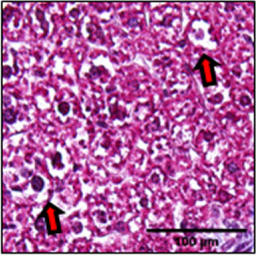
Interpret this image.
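This is liver, and the cells filling the field are hepatocytes, large polygonal cells with a pinkish-red cytoplasm and round purple nuclei. The orderly cords of cells are hard to follow here; the tissue looks loosened, with many pale, cleared spaces between and within the cells. Several cells are swollen and rounded, their cytoplasm pale and washed out rather than evenly pink, which is the look of ballooning. The arrows point at such swollen, pale cells with a nucleus sitting in the cleared cytoplasm. Compare them with the neighbouring cells that still keep a dense, granular pink cytoplasm.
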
